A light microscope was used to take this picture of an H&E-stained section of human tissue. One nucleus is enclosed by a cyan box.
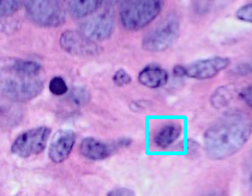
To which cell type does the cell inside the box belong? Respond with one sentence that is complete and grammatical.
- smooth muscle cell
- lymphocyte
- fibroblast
As for its identity, the cell inside the box is a lymphocyte.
